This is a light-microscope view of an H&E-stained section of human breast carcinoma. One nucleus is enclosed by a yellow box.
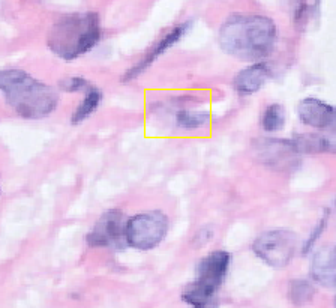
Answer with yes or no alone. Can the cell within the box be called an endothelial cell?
yes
